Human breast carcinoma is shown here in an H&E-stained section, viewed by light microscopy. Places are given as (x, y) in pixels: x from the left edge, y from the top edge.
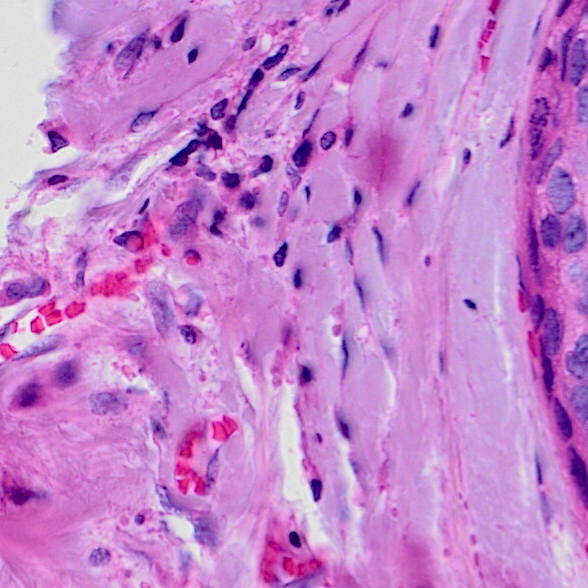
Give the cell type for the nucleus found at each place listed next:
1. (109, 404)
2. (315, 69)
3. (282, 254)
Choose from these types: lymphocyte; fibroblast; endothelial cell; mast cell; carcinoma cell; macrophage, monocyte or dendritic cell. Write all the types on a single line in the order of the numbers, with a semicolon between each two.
fibroblast; fibroblast; lymphocyte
